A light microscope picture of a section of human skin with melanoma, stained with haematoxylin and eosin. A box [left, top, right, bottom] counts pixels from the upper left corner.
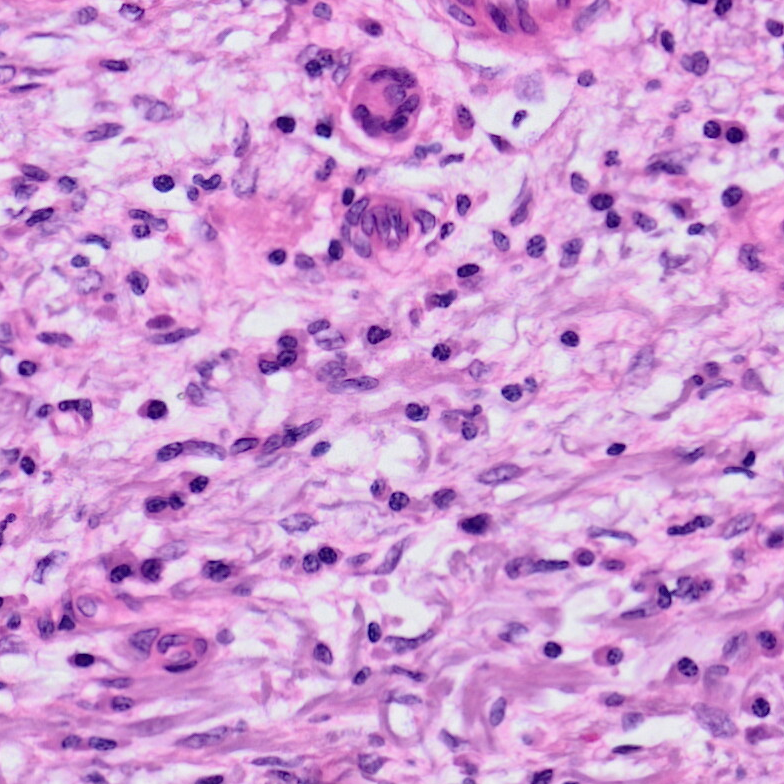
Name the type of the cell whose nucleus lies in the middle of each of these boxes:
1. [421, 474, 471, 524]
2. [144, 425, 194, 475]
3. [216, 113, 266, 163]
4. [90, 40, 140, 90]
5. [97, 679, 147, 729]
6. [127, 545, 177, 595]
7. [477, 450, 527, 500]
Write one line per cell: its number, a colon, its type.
1: macrophage or monocyte
2: plasma cell
3: fibroblast or myofibroblast
4: macrophage or monocyte
5: plasma cell
6: plasma cell
7: fibroblast or myofibroblast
